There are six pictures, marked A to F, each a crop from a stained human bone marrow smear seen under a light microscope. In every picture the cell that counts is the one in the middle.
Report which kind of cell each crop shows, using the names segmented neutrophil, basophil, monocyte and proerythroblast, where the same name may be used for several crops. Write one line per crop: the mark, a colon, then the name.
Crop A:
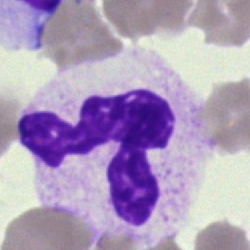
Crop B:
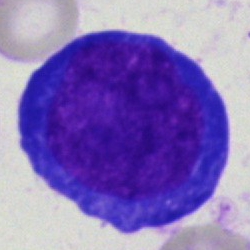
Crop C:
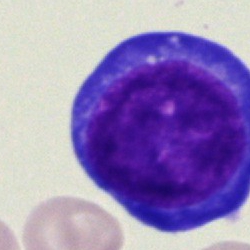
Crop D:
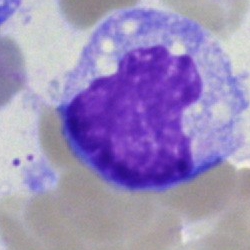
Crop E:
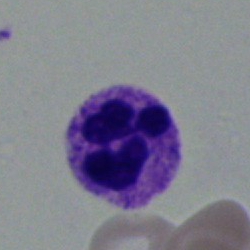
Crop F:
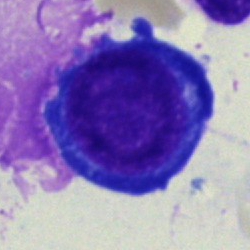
A: segmented neutrophil
B: proerythroblast
C: proerythroblast
D: monocyte
E: segmented neutrophil
F: proerythroblast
